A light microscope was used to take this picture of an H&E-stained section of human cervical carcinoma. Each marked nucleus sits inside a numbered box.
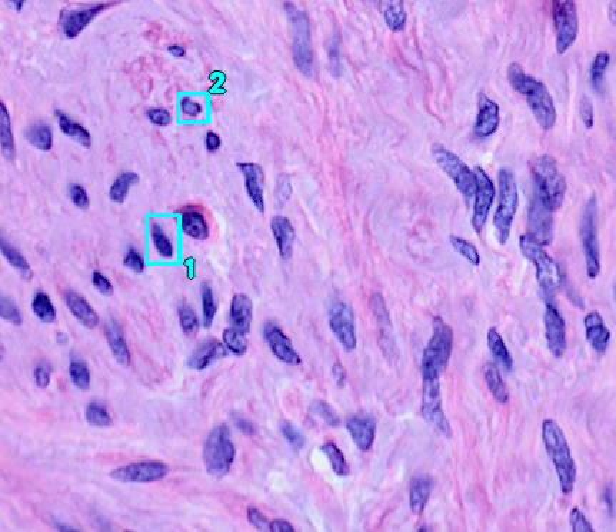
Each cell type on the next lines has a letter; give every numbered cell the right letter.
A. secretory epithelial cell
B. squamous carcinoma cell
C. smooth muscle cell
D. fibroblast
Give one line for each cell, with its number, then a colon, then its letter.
1: D
2: C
